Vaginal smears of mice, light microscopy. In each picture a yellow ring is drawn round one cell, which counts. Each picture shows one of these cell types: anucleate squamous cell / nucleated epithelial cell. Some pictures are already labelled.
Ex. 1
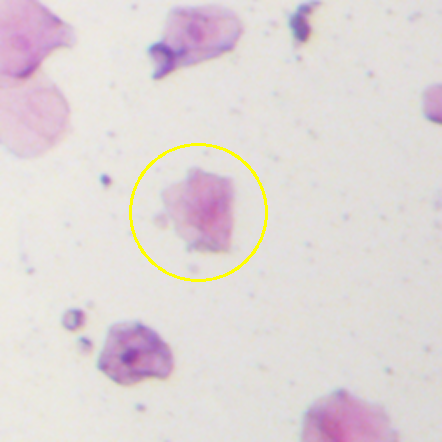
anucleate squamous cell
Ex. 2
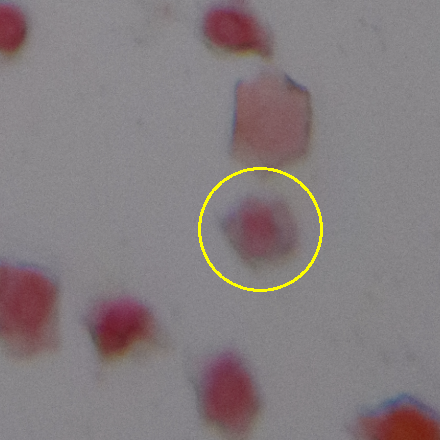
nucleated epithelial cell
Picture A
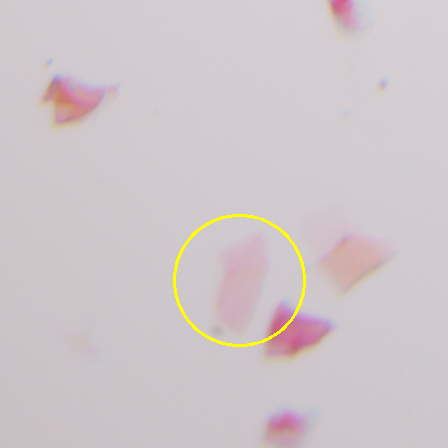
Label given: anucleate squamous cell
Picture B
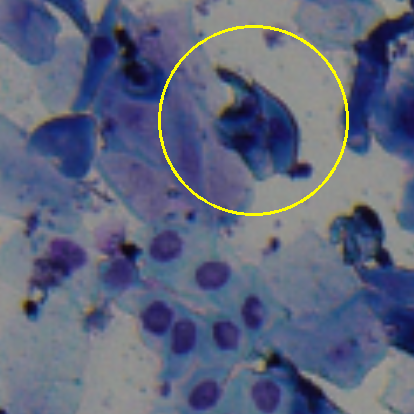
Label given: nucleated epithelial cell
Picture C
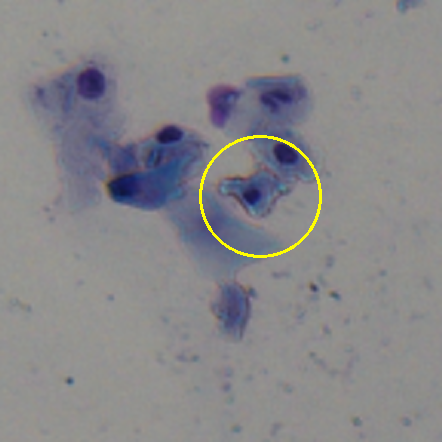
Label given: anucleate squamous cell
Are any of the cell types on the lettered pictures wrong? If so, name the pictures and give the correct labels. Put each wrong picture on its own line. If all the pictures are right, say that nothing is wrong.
B: not nucleated epithelial cell but anucleate squamous cell
C: not anucleate squamous cell but nucleated epithelial cell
